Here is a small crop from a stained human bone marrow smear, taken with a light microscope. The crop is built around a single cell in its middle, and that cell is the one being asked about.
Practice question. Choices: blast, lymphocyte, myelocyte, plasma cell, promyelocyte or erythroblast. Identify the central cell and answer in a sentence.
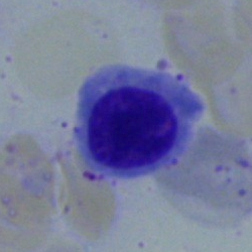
The cell found in the middle of this crop is an erythroblast.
